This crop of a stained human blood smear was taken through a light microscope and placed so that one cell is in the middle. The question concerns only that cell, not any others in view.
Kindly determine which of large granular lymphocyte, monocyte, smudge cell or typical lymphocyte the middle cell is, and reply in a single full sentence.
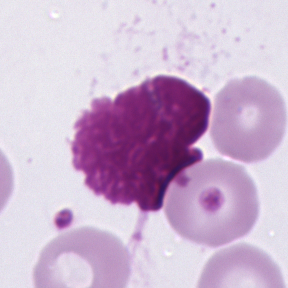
The centered cell in this crop is a smudge cell.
